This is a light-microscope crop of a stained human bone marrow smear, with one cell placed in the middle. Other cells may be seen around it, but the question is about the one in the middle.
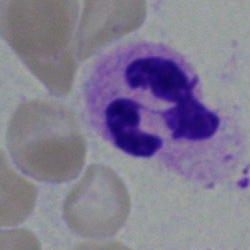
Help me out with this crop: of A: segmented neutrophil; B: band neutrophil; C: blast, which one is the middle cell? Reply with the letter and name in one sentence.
In the centre of the crop there is a segmented neutrophil, making option A correct.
